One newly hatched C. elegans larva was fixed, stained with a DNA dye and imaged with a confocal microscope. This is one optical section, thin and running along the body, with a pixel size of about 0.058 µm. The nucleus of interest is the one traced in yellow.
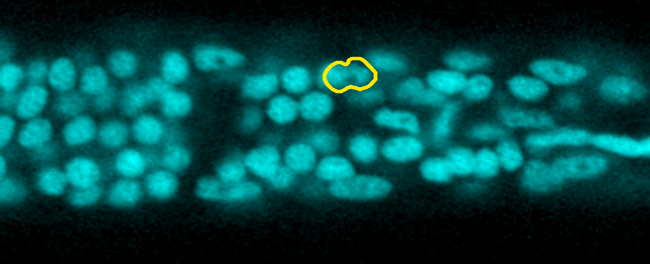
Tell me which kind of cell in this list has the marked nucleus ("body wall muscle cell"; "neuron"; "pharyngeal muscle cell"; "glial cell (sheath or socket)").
body wall muscle cell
